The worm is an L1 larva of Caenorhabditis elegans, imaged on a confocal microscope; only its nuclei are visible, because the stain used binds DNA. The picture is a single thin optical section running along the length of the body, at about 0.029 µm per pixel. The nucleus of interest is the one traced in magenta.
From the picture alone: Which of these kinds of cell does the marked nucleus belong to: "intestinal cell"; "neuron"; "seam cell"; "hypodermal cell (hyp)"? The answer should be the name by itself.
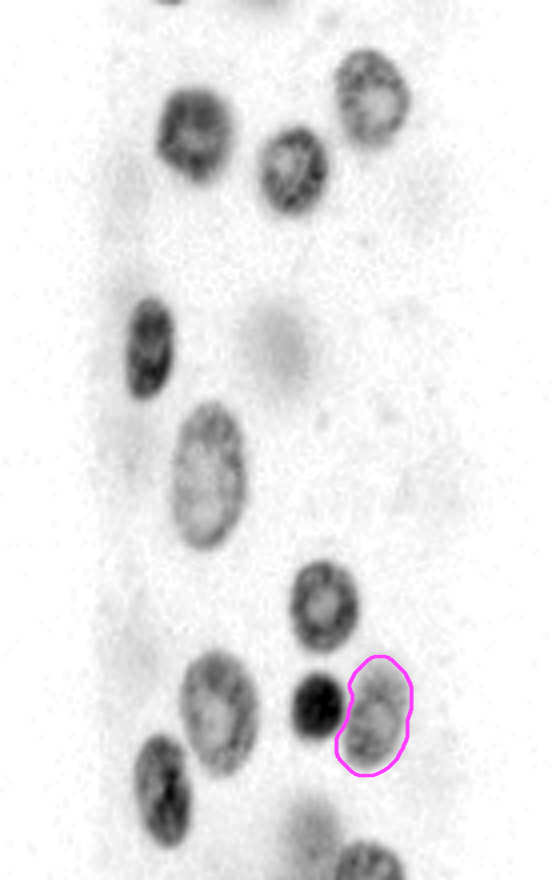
hypodermal cell (hyp)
